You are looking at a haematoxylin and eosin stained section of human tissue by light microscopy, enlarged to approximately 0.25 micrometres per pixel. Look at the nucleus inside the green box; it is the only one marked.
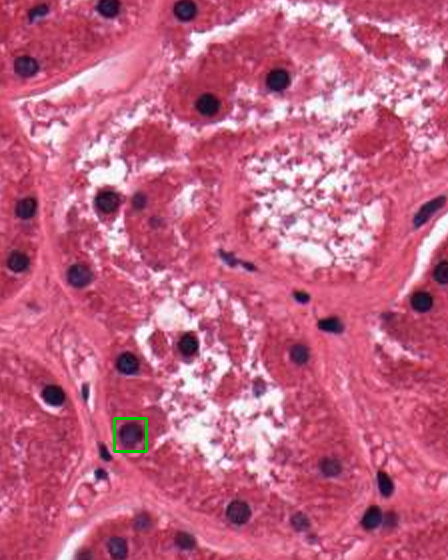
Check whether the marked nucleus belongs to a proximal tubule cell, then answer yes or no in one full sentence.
Yes, a proximal tubule cell contains the marked nucleus.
